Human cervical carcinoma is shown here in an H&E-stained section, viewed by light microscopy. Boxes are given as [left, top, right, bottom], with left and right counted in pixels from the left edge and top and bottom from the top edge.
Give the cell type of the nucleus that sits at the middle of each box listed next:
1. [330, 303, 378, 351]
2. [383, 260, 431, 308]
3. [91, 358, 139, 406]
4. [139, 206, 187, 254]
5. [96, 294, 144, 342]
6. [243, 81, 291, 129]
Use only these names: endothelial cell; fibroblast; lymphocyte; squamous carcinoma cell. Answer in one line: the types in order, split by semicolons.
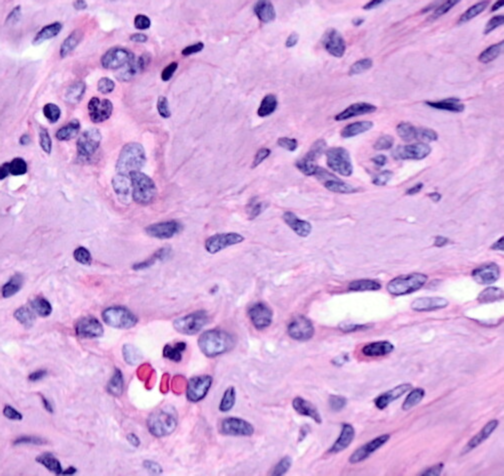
endothelial cell; endothelial cell; endothelial cell; fibroblast; endothelial cell; lymphocyte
